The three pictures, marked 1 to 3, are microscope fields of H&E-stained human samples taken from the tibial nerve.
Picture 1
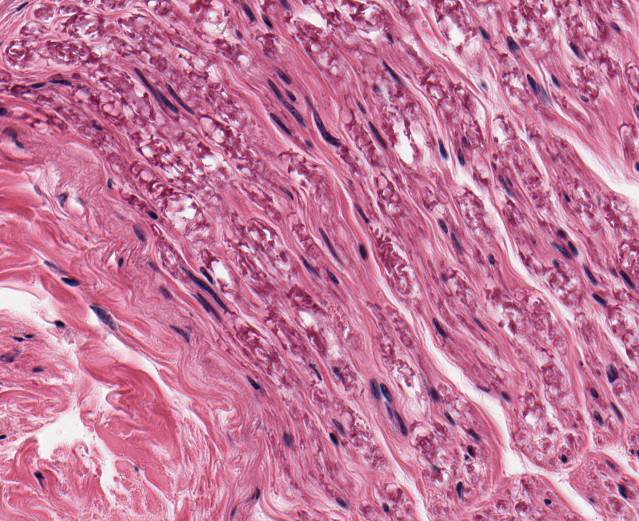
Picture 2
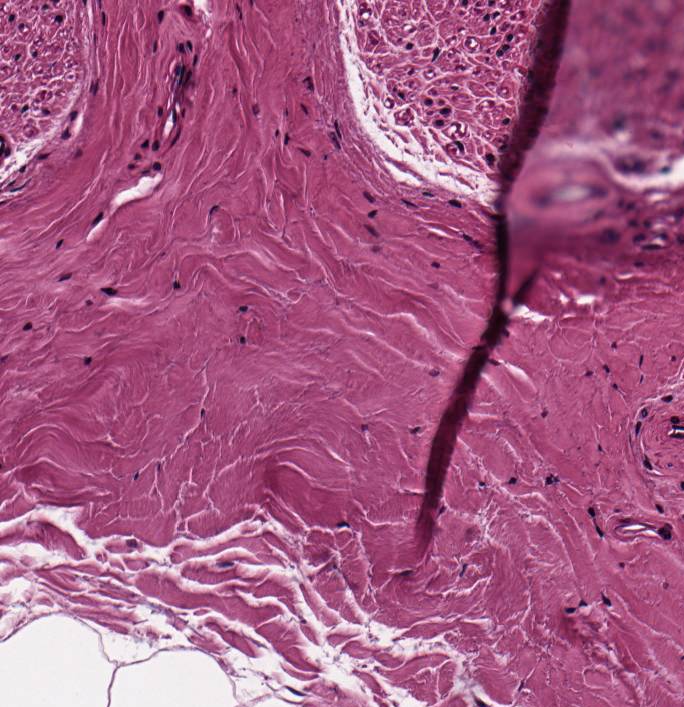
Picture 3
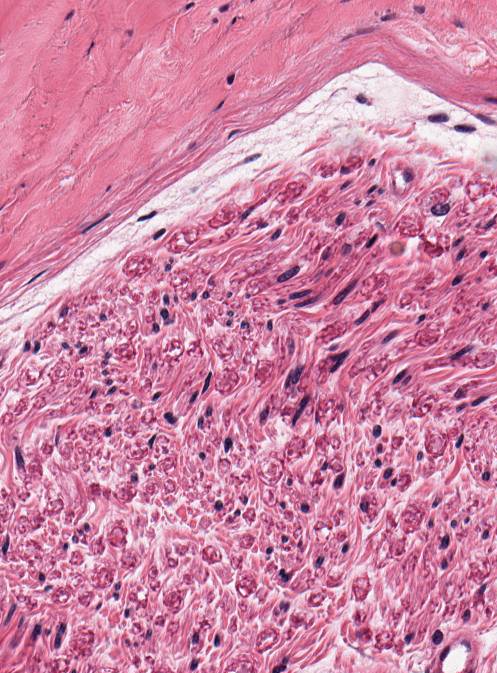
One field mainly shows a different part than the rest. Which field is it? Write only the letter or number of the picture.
2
